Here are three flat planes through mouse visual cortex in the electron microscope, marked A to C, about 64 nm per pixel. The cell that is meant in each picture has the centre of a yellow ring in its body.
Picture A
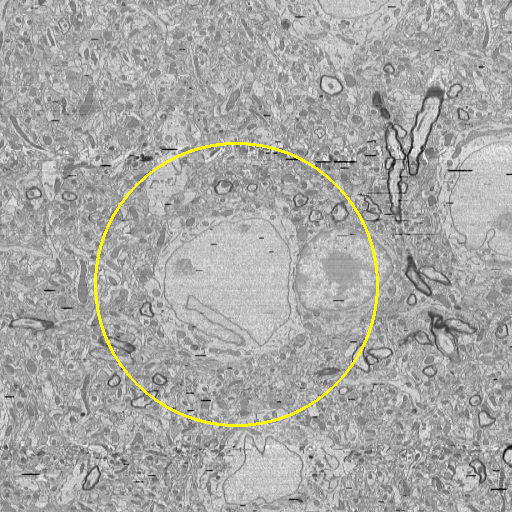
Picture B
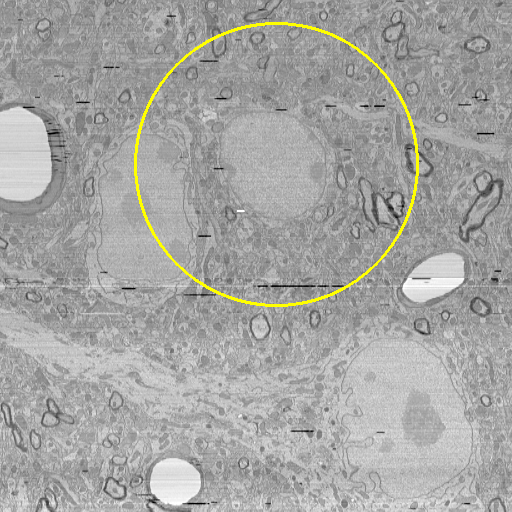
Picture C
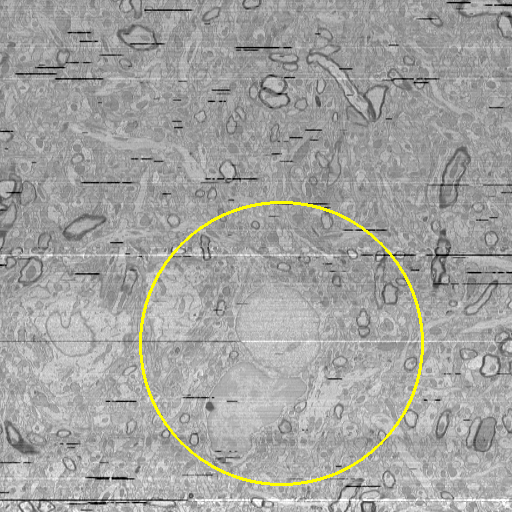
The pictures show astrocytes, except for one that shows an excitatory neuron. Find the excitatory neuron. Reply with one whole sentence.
The picture with the excitatory neuron is A.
